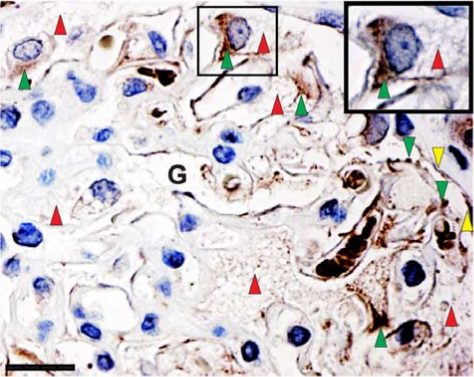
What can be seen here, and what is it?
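A glomerulus with podocytes, vacuoles and parietal epithelial cells is shown. Podocytes on the outer side of the capillary loops have round blue nuclei and brown-stained cytoplasm, some with extended brown processes. Many cells contain pale, clear, foamy vacuoles that take up much of their cytoplasm. Thin, flat parietal epithelial cells at the outer edge of the tuft also carry brown stain. An enlarged inset shows a single podocyte with a brown rim of cytoplasm around its nucleus next to a pale vacuolated area.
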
